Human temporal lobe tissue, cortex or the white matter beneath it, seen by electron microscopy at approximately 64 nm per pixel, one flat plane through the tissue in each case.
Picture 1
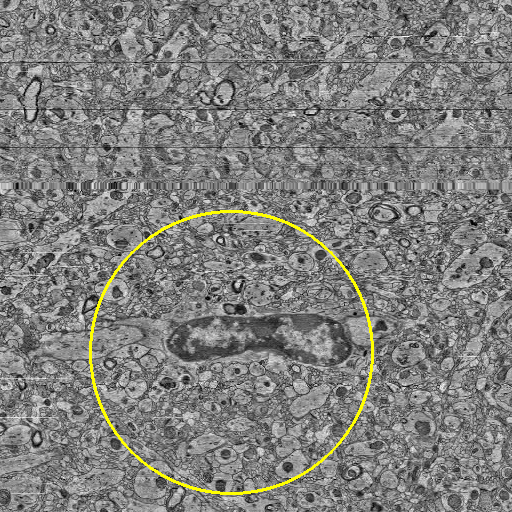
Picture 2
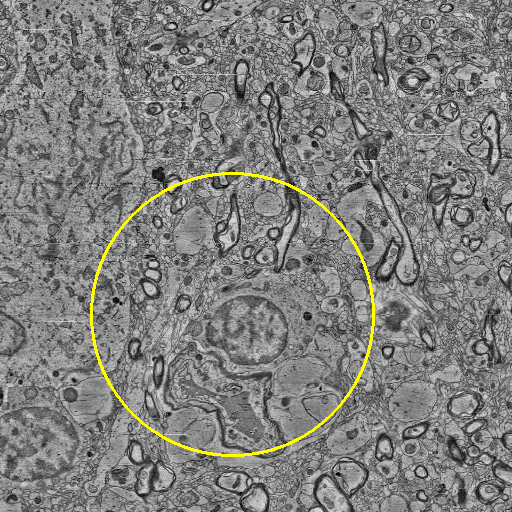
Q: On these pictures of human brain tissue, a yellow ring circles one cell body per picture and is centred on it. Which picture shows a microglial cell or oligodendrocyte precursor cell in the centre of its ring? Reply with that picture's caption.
Picture 1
